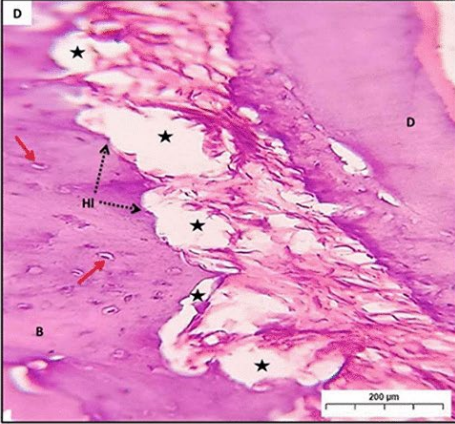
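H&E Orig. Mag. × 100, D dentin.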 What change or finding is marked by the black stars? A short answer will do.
loss of bone and attachment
